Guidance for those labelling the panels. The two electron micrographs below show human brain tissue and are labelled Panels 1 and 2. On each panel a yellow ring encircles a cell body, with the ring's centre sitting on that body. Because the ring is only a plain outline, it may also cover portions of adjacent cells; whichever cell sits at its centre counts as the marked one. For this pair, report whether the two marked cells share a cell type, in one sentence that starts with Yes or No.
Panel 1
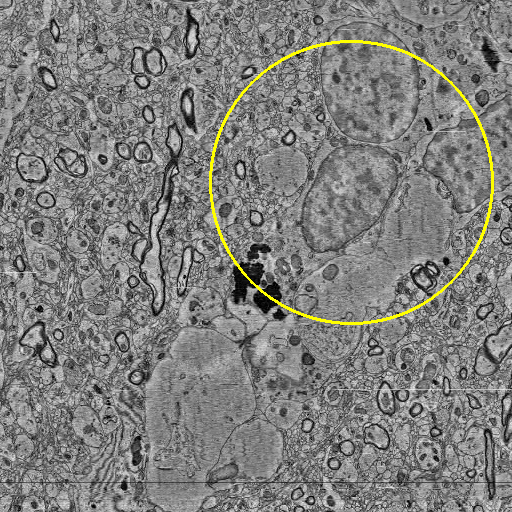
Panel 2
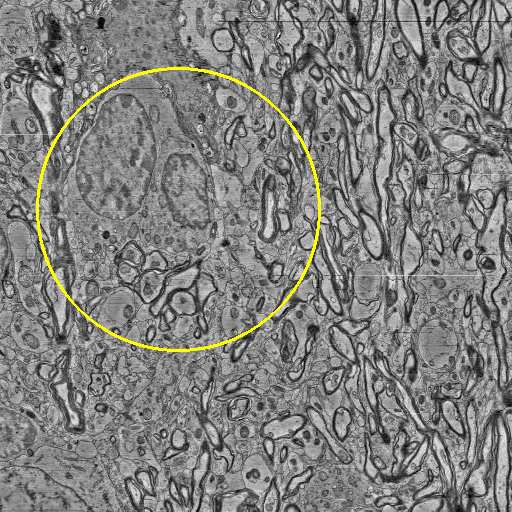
Yes, in Panel 1 and Panel 2 the marked cells at the ring centres share one type.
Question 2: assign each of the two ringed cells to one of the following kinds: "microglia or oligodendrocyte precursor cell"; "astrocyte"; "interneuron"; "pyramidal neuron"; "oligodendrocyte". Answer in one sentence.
In each of the two pictures, the ringed cell is an oligodendrocyte.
